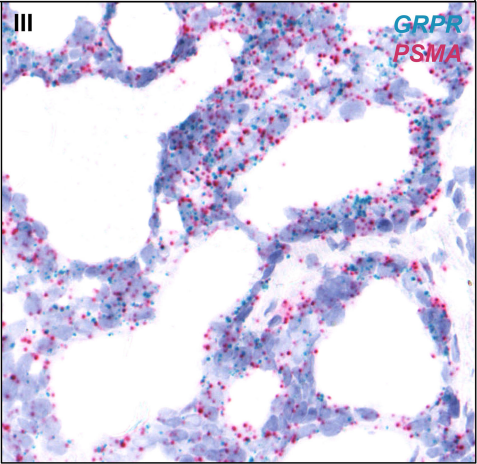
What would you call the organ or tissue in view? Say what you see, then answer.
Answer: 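Tumor. Many closely set gland-like spaces lined by crowded epithelial cells. Epithelium densely covered with red and blue dots.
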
